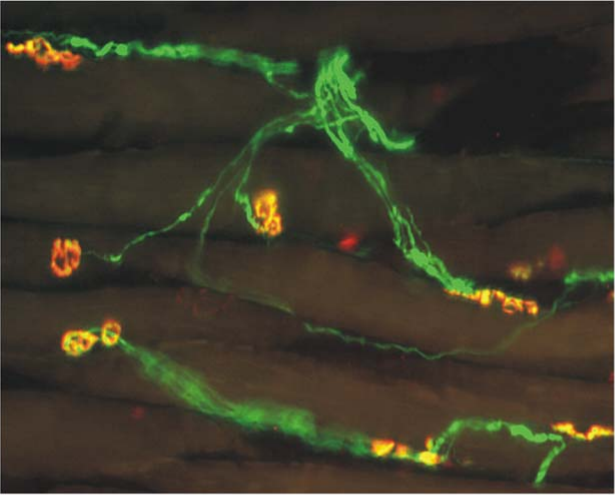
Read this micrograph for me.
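Skeletal muscle seen at low magnification, with long parallel muscle fibres in the dark background crossed by green nerve fibres that run in bundles and branch out. Single thin branches each end on a small, compact, pretzel-like patch lying on the surface of a fibre, where the green and red overlap to give a yellow colour, showing the motor terminals sitting on the endplates.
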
